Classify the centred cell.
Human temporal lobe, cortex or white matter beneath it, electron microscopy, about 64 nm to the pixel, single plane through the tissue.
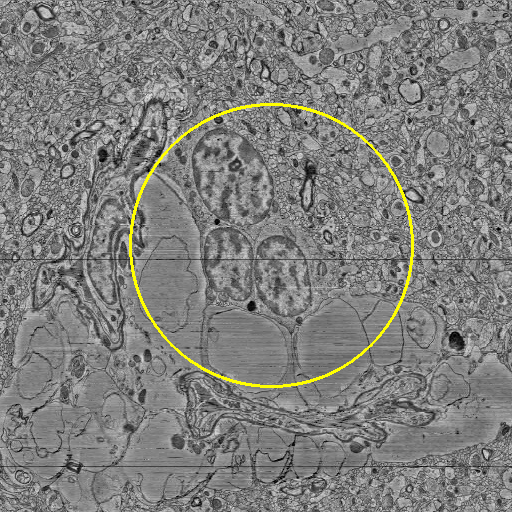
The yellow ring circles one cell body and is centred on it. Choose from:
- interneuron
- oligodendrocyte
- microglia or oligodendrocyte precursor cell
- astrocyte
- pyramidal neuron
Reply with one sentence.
The ring is centred on an oligodendrocyte.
